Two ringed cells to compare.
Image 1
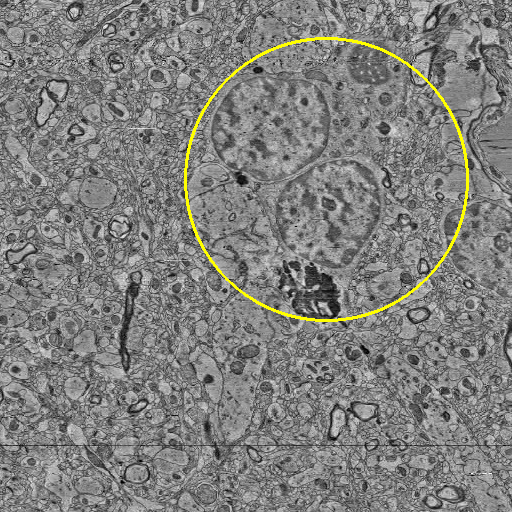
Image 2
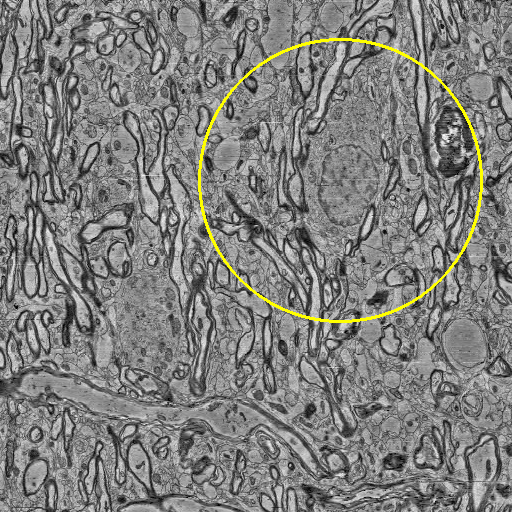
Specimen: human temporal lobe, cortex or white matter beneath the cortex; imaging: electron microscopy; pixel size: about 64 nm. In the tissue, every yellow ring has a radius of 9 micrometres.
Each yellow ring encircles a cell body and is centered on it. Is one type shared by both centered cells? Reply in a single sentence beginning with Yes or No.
Yes, a single type is shared by the two cells at the centers of the rings.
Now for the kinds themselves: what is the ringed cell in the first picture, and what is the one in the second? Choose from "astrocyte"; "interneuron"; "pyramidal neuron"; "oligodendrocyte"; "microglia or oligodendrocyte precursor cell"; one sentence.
Each of the two rings surrounds an oligodendrocyte.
